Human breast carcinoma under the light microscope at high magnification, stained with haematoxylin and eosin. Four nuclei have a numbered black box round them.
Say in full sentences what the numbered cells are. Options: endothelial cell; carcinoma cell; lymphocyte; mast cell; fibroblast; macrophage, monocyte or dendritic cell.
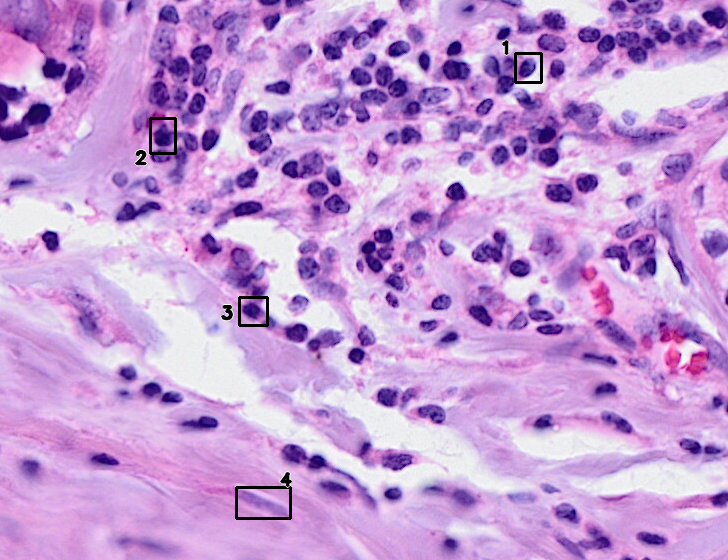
Cell 1 is a lymphocyte, cell 2 is a lymphocyte, cell 3 is a lymphocyte and cell 4 is a fibroblast.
